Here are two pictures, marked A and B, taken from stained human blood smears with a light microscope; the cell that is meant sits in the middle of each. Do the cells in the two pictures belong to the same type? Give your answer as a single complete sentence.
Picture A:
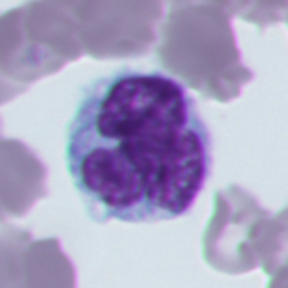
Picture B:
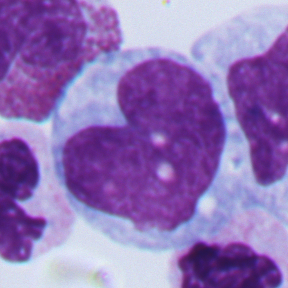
Yes, both cells are monocytes.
